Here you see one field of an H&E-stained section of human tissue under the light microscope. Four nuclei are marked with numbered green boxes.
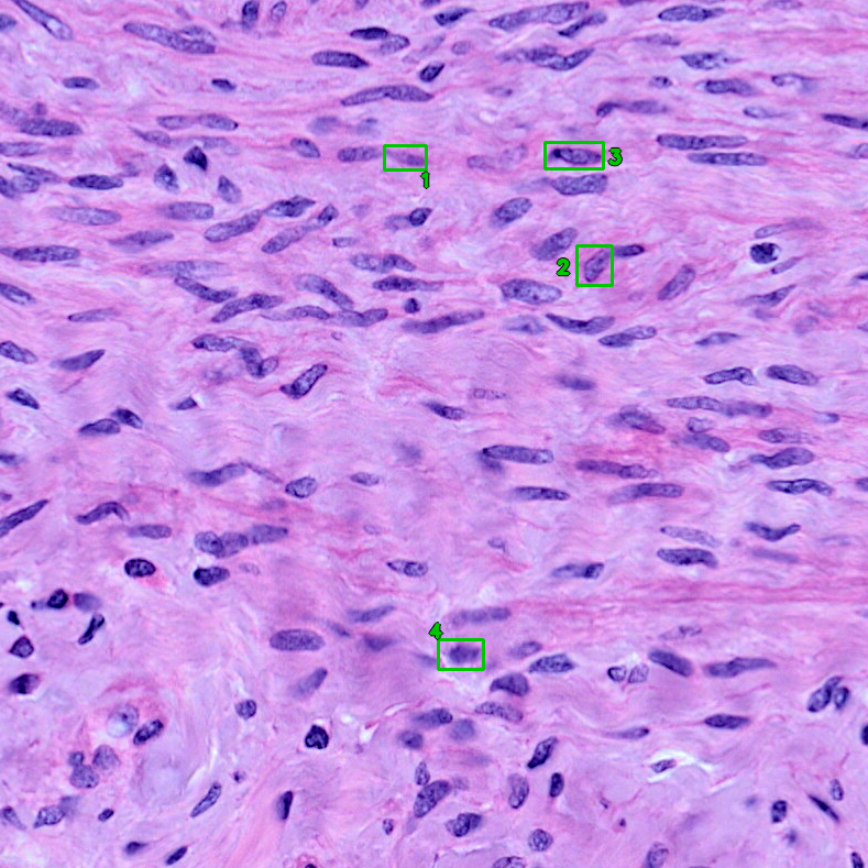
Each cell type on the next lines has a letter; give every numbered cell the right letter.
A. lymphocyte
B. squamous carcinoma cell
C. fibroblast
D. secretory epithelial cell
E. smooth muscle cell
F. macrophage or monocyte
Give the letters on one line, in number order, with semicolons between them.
E; E; E; C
